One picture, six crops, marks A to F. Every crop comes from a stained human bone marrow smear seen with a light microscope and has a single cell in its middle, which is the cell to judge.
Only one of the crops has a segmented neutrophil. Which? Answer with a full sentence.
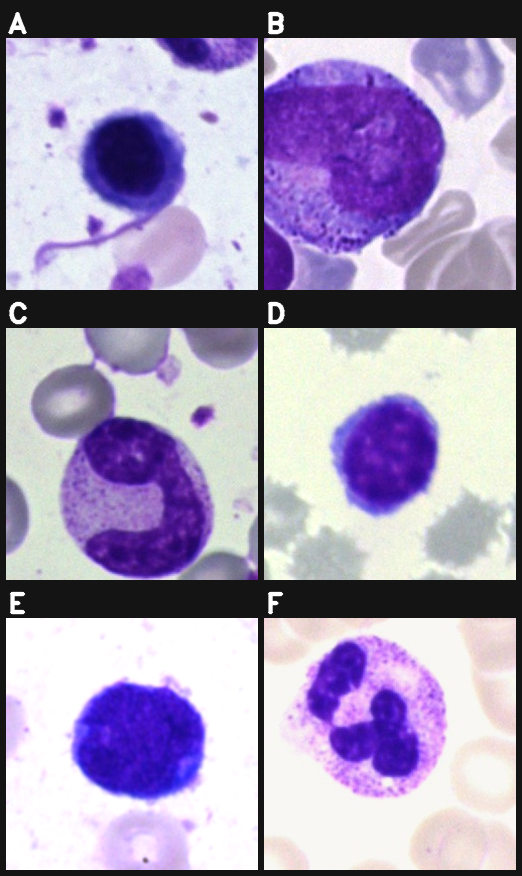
Of the labeled crops, the one with a segmented neutrophil is crop F.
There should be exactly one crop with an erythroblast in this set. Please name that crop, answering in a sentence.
Among the crops provided, an erythroblast occupies the center of crop A.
